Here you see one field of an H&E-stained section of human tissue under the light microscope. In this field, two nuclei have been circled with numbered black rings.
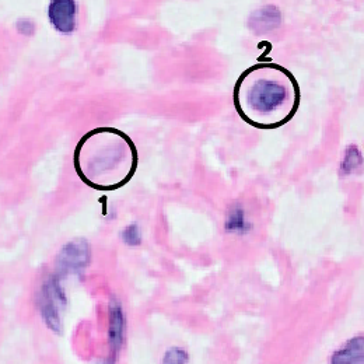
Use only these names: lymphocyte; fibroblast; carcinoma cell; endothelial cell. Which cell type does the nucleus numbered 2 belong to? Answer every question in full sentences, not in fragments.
Cell 2 should be recorded as a lymphocyte.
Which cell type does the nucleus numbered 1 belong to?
The marked nucleus 1 is that of a fibroblast.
